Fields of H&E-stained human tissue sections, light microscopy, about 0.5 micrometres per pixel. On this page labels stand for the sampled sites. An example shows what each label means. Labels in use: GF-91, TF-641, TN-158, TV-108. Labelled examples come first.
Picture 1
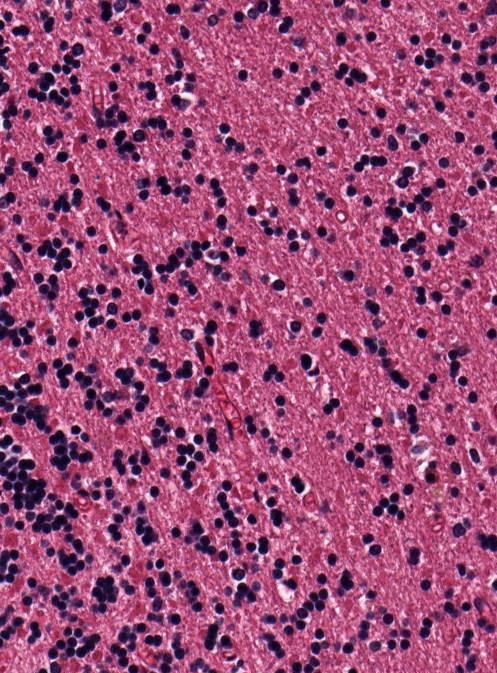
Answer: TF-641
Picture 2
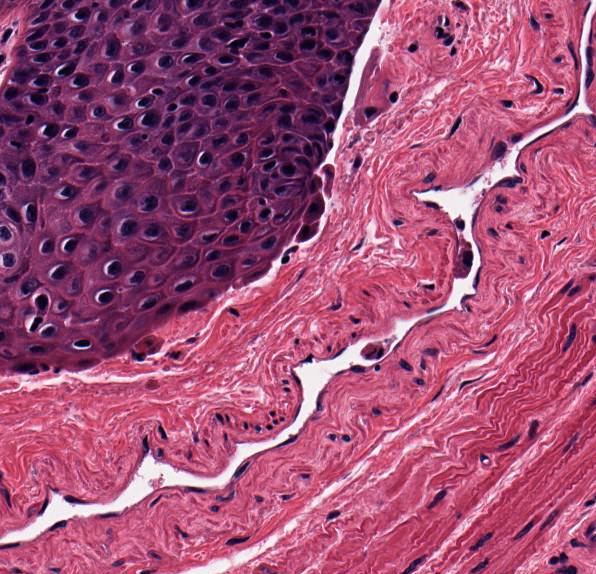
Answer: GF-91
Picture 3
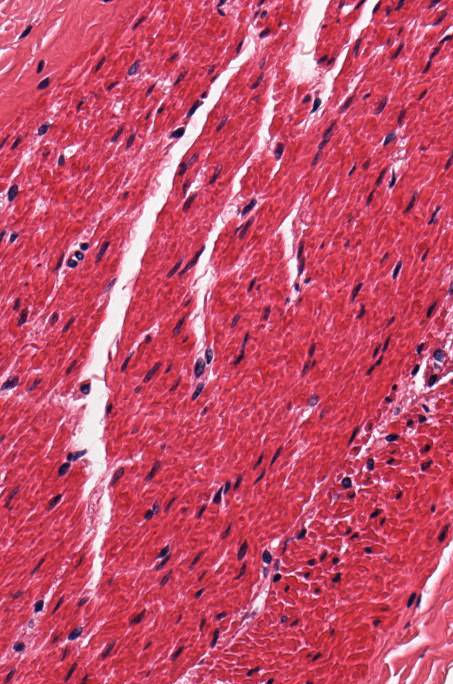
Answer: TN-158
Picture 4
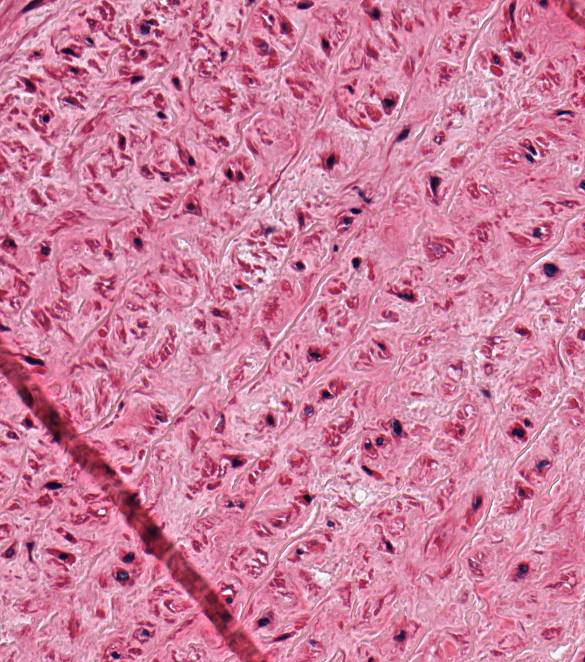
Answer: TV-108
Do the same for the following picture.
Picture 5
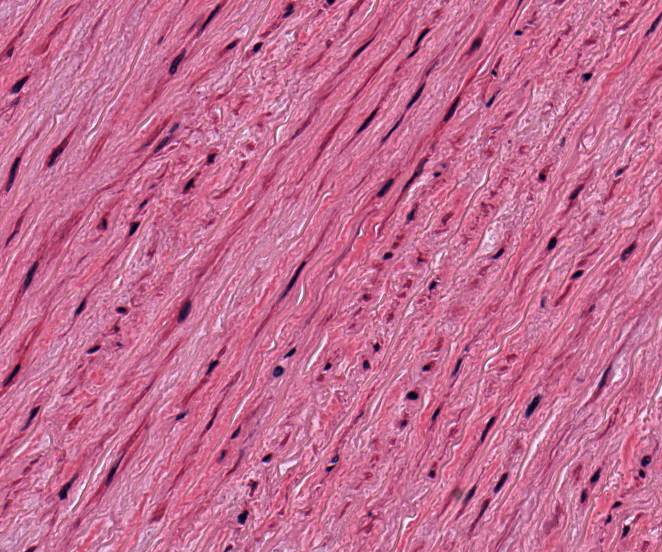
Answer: TV-108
